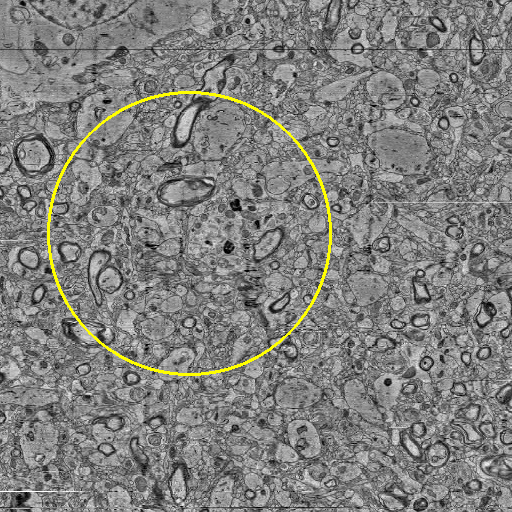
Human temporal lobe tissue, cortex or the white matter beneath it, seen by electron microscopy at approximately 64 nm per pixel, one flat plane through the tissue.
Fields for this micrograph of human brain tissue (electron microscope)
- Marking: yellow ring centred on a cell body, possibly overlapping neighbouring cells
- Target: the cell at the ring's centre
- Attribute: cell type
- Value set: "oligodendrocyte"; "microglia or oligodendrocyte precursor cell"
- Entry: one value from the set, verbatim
microglia or oligodendrocyte precursor cell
